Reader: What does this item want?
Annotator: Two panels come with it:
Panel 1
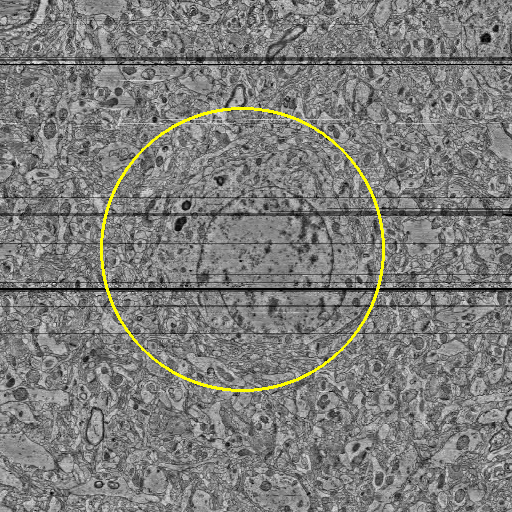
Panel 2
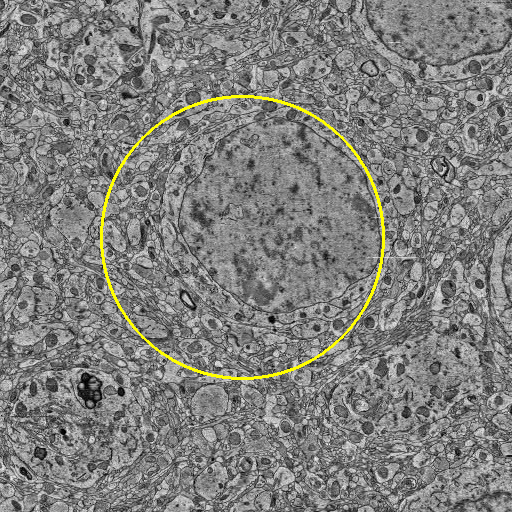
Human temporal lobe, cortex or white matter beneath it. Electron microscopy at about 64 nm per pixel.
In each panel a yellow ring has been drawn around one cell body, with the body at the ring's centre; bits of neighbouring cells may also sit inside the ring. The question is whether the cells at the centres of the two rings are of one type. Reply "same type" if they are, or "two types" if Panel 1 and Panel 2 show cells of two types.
same type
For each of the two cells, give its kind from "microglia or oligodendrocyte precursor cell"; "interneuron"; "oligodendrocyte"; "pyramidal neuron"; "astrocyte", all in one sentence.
Each of the two rings is centred on a pyramidal neuron.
